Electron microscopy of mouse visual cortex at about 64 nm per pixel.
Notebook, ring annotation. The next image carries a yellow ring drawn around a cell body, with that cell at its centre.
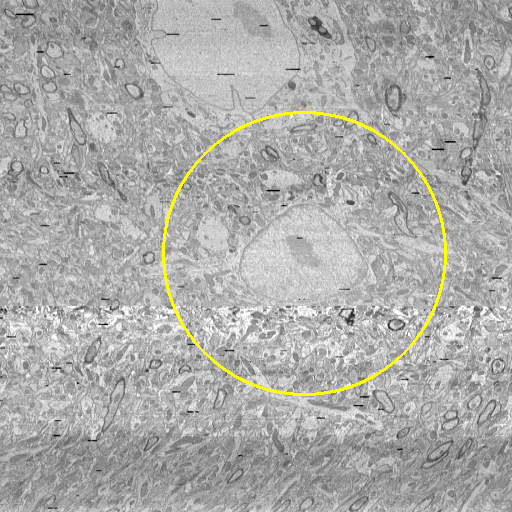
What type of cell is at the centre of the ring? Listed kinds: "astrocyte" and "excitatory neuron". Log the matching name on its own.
astrocyte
